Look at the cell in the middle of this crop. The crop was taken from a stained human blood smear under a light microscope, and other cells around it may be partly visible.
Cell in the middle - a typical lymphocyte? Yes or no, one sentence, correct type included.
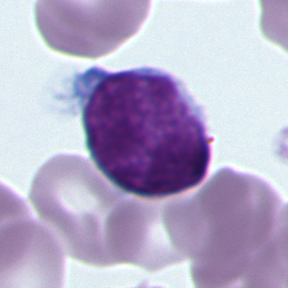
Yes, a typical lymphocyte occupies the middle of the crop.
